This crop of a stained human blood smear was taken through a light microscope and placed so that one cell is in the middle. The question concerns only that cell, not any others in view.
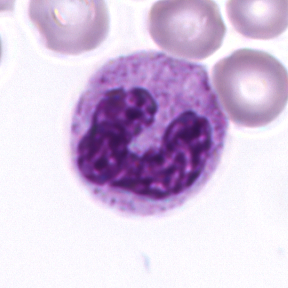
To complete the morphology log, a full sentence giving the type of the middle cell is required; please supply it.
The cell found in the middle of this crop is a band neutrophil.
